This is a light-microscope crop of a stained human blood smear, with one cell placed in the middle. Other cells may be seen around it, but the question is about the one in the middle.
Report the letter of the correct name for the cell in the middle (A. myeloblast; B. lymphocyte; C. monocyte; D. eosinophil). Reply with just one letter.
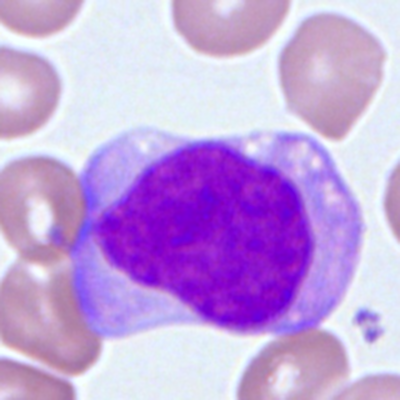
C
